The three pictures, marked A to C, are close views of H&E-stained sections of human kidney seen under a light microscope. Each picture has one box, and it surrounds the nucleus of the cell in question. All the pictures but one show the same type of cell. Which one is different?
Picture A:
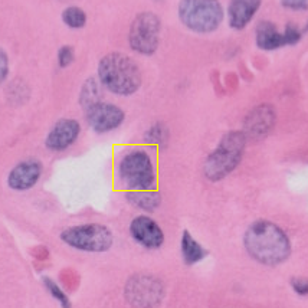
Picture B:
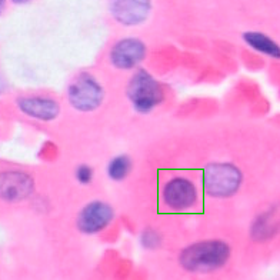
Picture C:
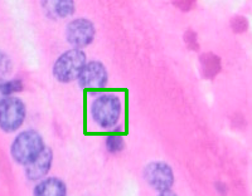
B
